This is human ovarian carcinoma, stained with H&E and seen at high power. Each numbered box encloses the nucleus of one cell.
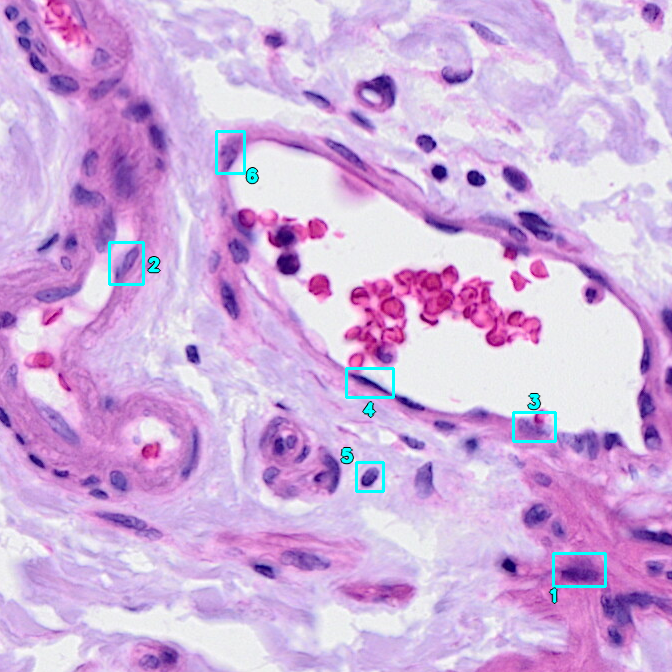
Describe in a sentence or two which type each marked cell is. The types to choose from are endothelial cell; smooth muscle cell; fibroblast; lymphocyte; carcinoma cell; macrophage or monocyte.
Cell 1 is a smooth muscle cell. Cells 2, 3, 4 and 6 are endothelial cells. Cell 5 is a lymphocyte.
